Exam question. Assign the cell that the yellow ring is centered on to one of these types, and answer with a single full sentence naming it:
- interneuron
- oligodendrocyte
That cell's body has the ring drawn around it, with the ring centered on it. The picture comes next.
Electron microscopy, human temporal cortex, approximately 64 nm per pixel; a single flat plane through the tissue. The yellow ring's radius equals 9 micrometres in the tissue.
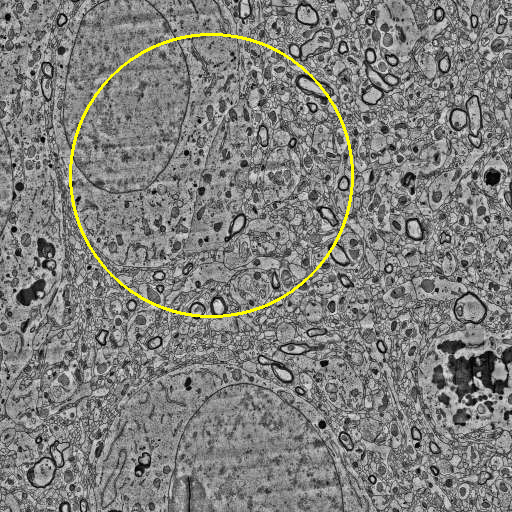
In the micrograph, the cell the yellow ring is centered on is an oligodendrocyte.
